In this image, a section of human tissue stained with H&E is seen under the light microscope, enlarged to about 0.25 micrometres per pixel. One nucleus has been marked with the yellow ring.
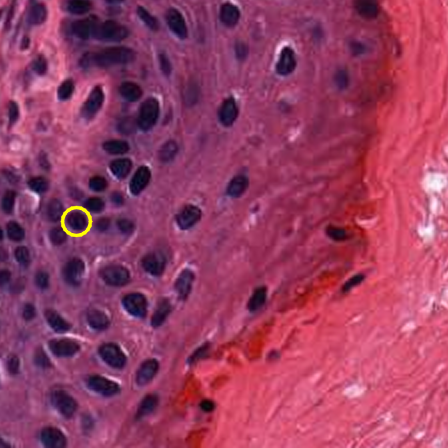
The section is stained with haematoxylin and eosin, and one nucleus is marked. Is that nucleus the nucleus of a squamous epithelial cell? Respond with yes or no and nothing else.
yes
